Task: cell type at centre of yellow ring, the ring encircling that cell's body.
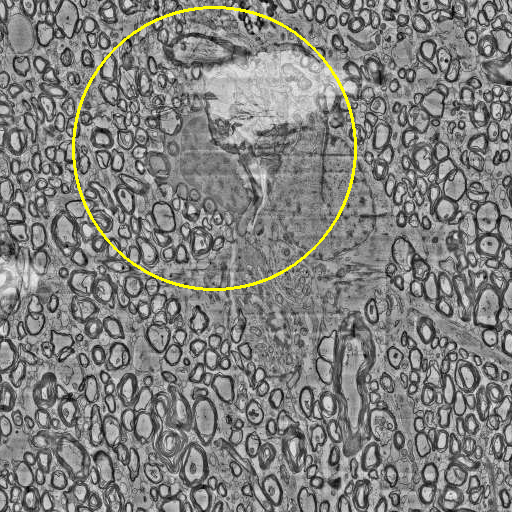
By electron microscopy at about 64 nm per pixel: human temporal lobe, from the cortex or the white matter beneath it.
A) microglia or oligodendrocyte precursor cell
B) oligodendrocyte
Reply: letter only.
A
